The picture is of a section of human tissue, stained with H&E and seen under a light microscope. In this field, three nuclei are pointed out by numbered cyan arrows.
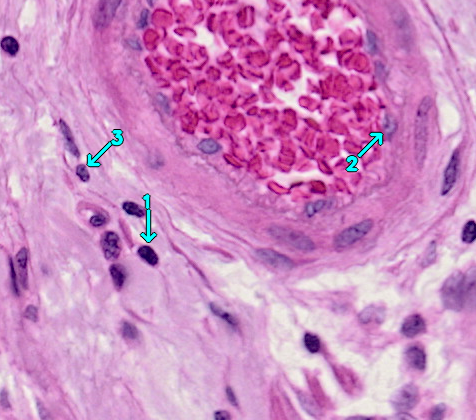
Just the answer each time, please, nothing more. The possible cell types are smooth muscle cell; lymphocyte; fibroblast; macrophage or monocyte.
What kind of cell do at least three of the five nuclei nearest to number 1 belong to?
macrophage or monocyte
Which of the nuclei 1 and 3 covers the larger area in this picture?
1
